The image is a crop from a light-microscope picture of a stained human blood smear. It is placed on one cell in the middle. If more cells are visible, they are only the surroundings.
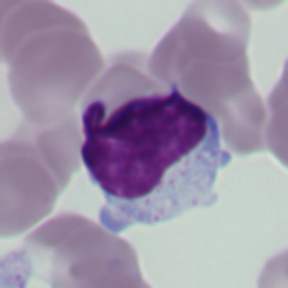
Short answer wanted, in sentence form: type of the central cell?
The middle of this crop is occupied by a large granular lymphocyte.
